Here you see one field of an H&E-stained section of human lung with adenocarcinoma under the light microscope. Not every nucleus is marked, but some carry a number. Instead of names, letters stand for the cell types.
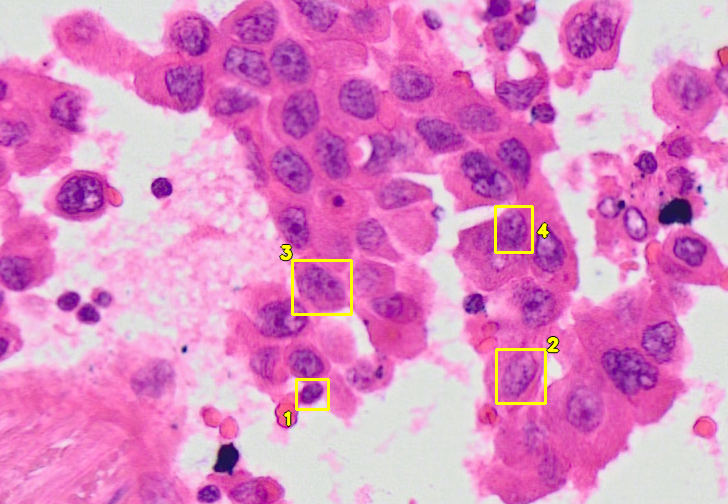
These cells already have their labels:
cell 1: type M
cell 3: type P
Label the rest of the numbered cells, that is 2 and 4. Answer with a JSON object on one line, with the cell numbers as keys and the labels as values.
{"2": "type P", "4": "type P"}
